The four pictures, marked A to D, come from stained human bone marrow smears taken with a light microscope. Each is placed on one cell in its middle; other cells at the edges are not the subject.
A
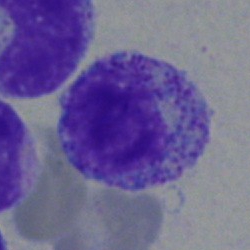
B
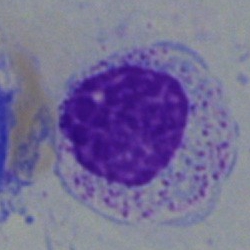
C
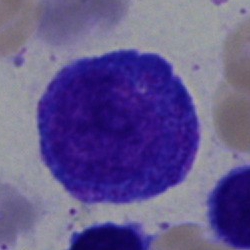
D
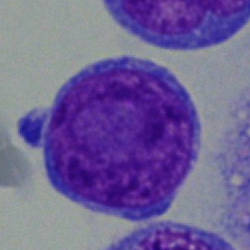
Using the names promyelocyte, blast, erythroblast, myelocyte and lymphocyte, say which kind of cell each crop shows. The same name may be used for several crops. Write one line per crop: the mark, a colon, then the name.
A: myelocyte
B: myelocyte
C: promyelocyte
D: blast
